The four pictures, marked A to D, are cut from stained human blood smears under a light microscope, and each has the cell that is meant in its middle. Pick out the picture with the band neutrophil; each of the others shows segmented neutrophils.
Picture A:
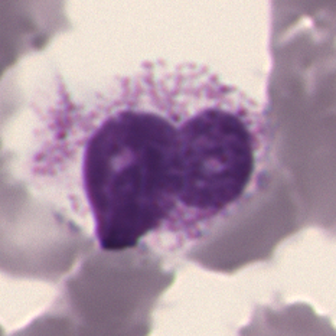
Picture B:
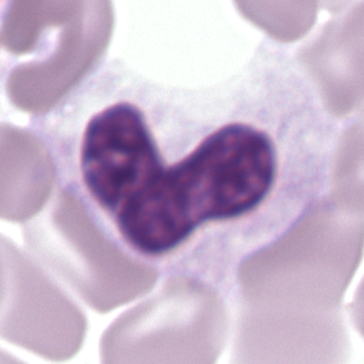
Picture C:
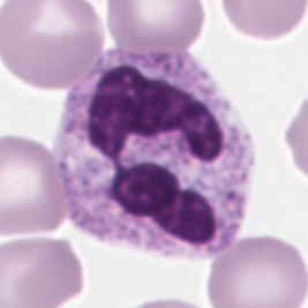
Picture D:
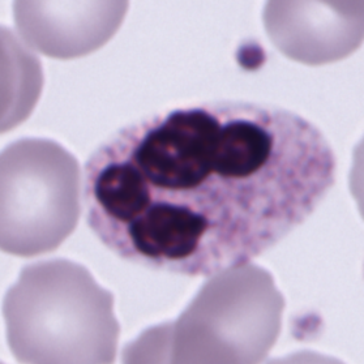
B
